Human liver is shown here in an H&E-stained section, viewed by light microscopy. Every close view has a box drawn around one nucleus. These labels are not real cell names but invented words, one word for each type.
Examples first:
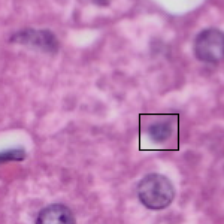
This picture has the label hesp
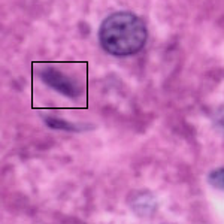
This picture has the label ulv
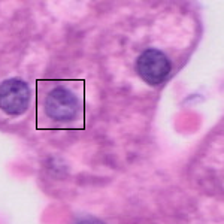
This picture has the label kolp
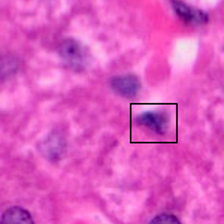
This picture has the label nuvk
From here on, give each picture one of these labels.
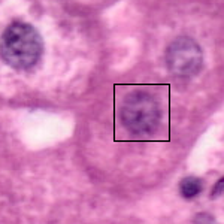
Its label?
kolp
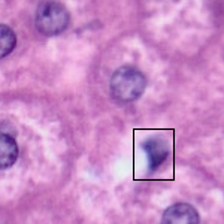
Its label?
nuvk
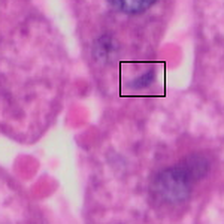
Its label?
ulv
